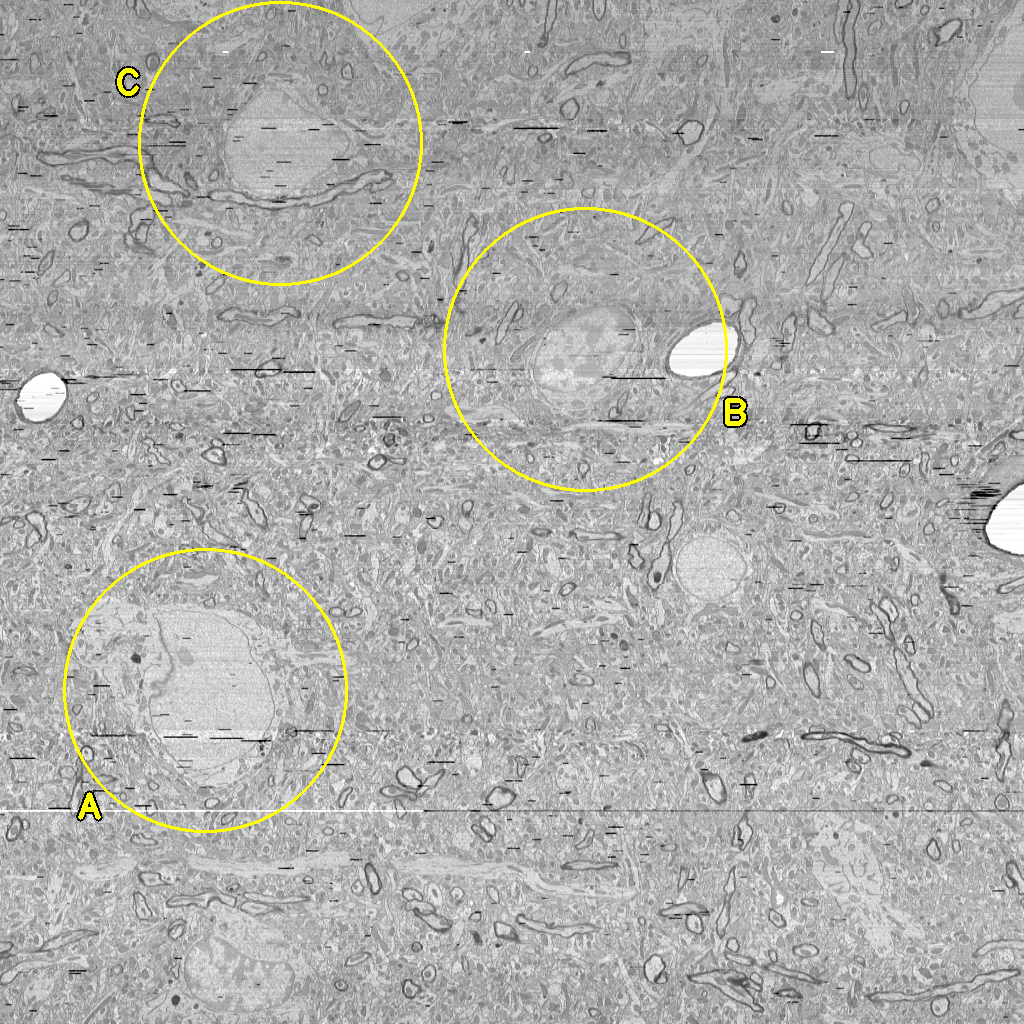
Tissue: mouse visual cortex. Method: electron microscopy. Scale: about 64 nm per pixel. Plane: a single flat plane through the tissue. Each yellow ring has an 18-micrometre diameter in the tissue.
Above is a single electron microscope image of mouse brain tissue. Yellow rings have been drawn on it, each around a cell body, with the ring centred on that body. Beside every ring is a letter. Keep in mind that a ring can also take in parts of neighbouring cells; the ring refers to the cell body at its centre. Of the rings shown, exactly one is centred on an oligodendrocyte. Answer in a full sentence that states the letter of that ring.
The cell at the centre of ring B is the one asked for.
